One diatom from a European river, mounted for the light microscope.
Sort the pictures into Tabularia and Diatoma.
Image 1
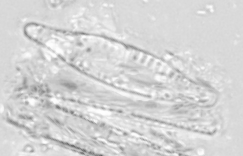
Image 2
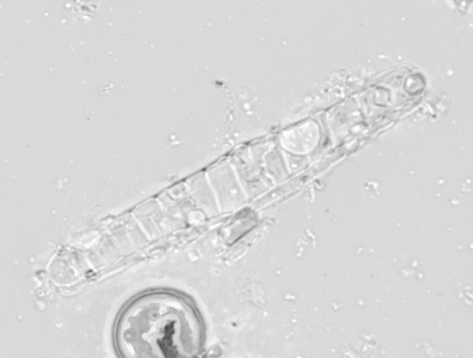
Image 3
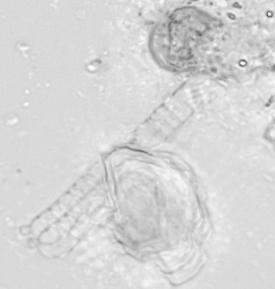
Tabularia: 1
Diatoma: 2, 3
